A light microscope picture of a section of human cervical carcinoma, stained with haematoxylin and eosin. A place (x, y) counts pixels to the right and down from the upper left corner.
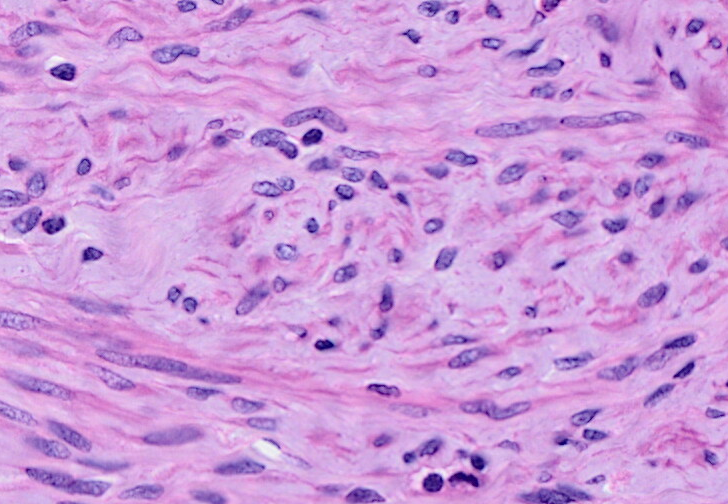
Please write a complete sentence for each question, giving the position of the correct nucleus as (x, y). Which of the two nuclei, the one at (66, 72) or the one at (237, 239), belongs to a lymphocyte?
That would be the nucleus at (66, 72); it belongs to a lymphocyte.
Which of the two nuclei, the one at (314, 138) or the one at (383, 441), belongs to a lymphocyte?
The pair contains one nucleus of a lymphocyte, namely the one at (314, 138).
